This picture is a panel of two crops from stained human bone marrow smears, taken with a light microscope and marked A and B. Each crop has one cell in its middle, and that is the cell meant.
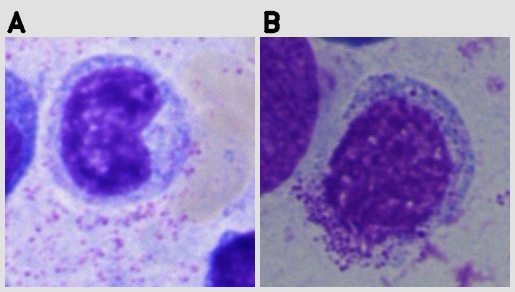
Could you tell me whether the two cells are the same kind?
no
